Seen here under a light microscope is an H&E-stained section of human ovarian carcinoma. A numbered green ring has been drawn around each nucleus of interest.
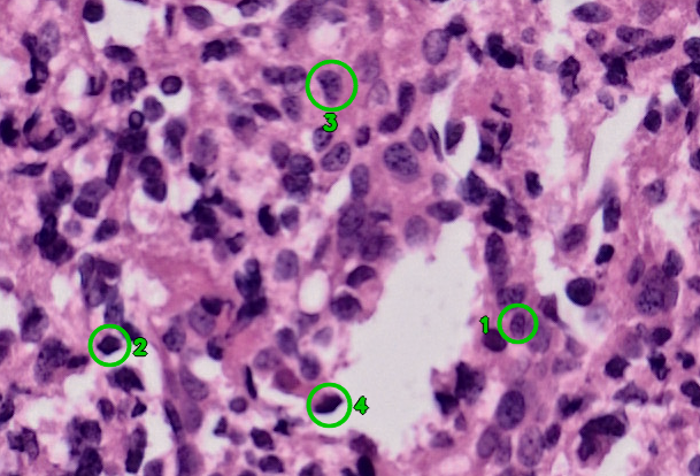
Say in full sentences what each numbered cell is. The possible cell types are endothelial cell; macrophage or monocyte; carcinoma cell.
Cell 1 is a carcinoma cell, cell 2 is a carcinoma cell, cell 3 is a macrophage or monocyte and cell 4 is a carcinoma cell.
